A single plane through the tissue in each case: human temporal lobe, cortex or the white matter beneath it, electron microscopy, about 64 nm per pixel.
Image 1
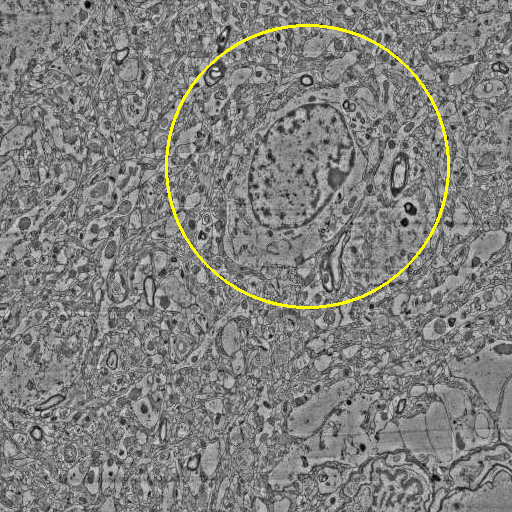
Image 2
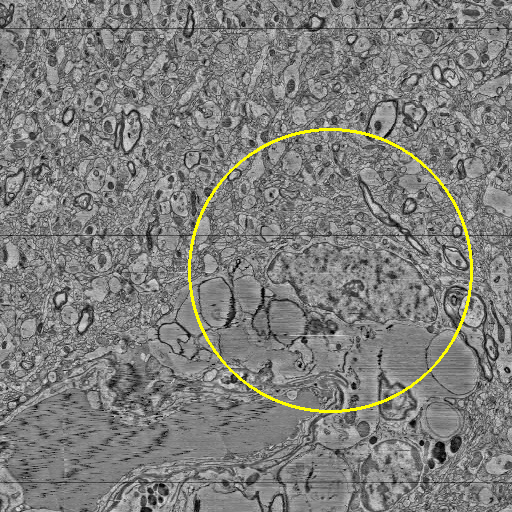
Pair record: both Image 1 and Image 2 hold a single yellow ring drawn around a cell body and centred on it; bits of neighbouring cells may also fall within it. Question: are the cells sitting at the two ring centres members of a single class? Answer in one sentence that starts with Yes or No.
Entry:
Yes, both ring-centre cells in Image 1 and Image 2 are members of one class.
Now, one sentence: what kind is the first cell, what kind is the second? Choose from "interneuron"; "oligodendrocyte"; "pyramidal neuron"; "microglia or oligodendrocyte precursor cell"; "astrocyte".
In the first picture and in the second, the ring is centred on a microglial cell or oligodendrocyte precursor cell.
